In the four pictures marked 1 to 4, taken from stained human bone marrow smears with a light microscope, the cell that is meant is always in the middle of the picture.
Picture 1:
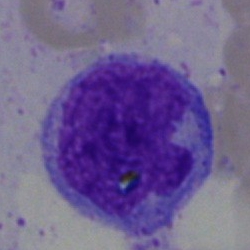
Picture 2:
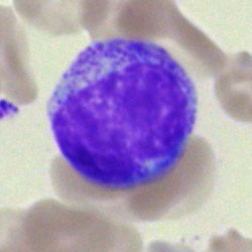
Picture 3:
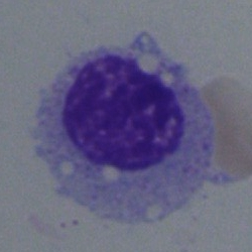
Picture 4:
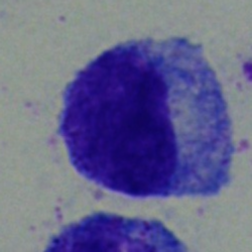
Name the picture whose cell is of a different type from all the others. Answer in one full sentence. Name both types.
Unlike the rest, which show myelocytes, picture 1 shows a monocyte.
